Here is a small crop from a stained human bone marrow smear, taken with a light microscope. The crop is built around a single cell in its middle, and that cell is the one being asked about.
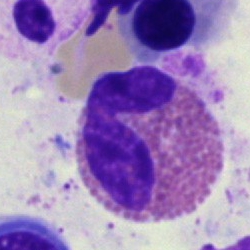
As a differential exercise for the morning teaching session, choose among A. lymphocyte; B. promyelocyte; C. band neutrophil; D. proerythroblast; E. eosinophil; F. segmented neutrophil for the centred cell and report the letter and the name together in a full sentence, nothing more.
In the centre of the crop there is an eosinophil, making option E correct.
